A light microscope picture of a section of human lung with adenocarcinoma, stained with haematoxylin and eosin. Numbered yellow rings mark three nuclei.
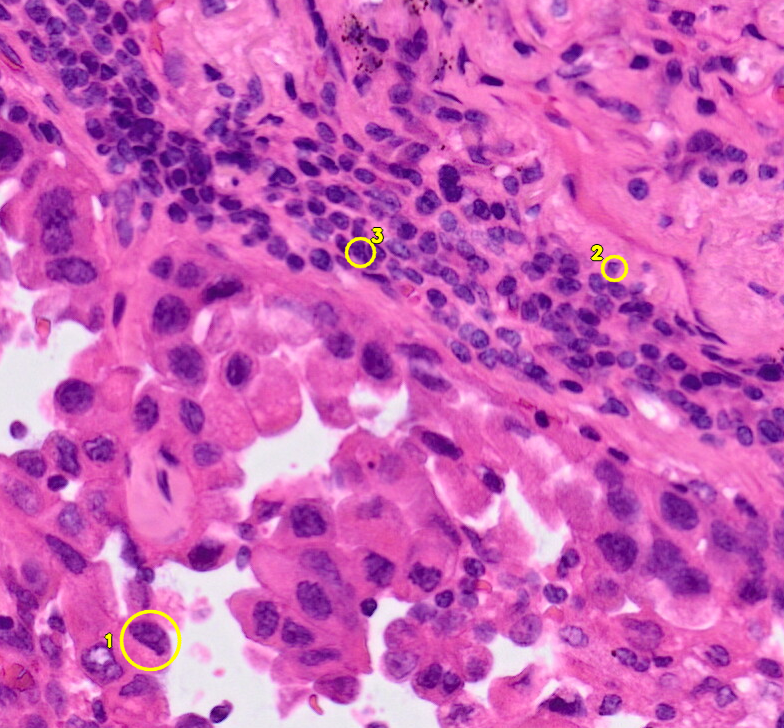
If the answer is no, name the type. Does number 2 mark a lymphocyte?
Yes.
